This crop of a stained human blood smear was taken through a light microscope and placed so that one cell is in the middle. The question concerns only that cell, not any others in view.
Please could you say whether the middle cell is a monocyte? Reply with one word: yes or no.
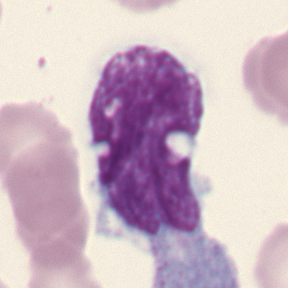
yes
